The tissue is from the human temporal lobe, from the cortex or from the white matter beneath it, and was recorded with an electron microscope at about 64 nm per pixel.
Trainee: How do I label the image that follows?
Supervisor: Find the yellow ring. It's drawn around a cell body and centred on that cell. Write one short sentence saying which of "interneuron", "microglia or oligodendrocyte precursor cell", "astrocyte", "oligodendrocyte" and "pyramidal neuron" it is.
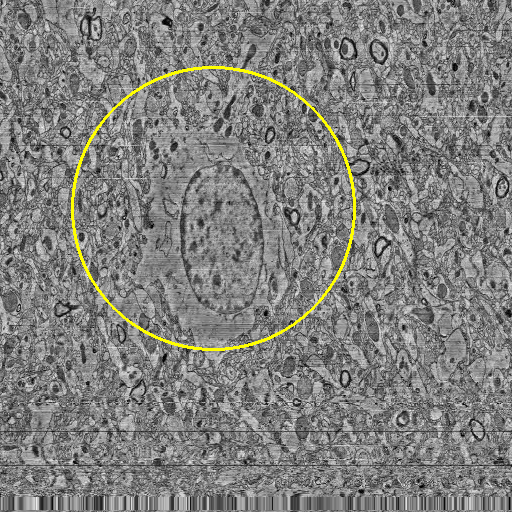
This is the cell body of an astrocyte.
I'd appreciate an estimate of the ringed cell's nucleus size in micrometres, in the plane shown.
Roughly 10 by 5 micrometers, clearly longer than it is wide in this plane.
